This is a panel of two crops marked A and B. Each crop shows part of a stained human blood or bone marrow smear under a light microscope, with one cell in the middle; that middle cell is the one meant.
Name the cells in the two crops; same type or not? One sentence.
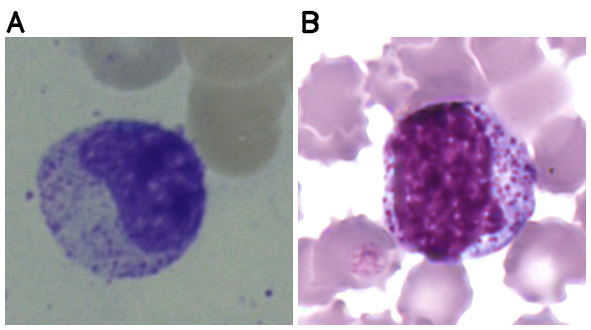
Yes, as for both crops, the cells shown are metamyelocytes.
